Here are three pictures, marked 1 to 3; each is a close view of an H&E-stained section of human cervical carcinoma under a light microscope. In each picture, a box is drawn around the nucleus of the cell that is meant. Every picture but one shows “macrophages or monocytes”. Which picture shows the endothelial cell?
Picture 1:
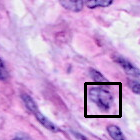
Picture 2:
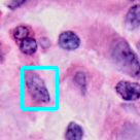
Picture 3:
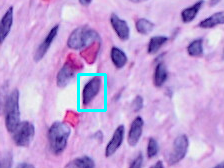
3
